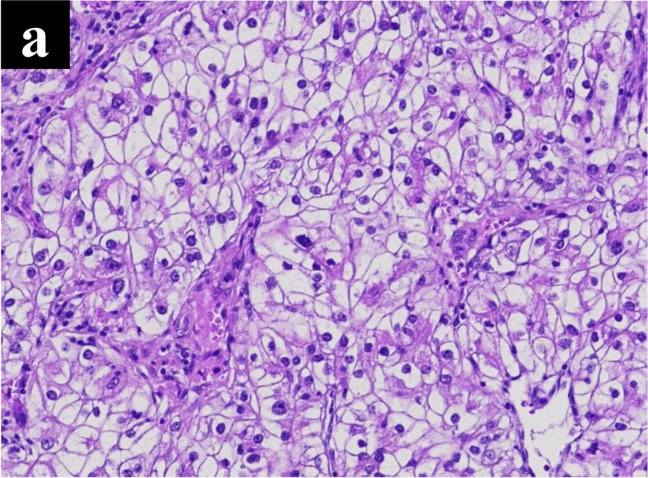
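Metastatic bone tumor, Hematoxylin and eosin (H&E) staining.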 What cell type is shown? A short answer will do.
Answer: clear to eosinophilic cells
